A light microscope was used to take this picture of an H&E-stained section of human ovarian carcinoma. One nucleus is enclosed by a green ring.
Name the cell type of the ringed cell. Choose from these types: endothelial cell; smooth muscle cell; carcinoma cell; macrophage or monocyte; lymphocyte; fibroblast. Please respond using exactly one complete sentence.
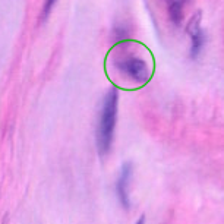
On this particular slide, the ringed cell is a smooth muscle cell.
